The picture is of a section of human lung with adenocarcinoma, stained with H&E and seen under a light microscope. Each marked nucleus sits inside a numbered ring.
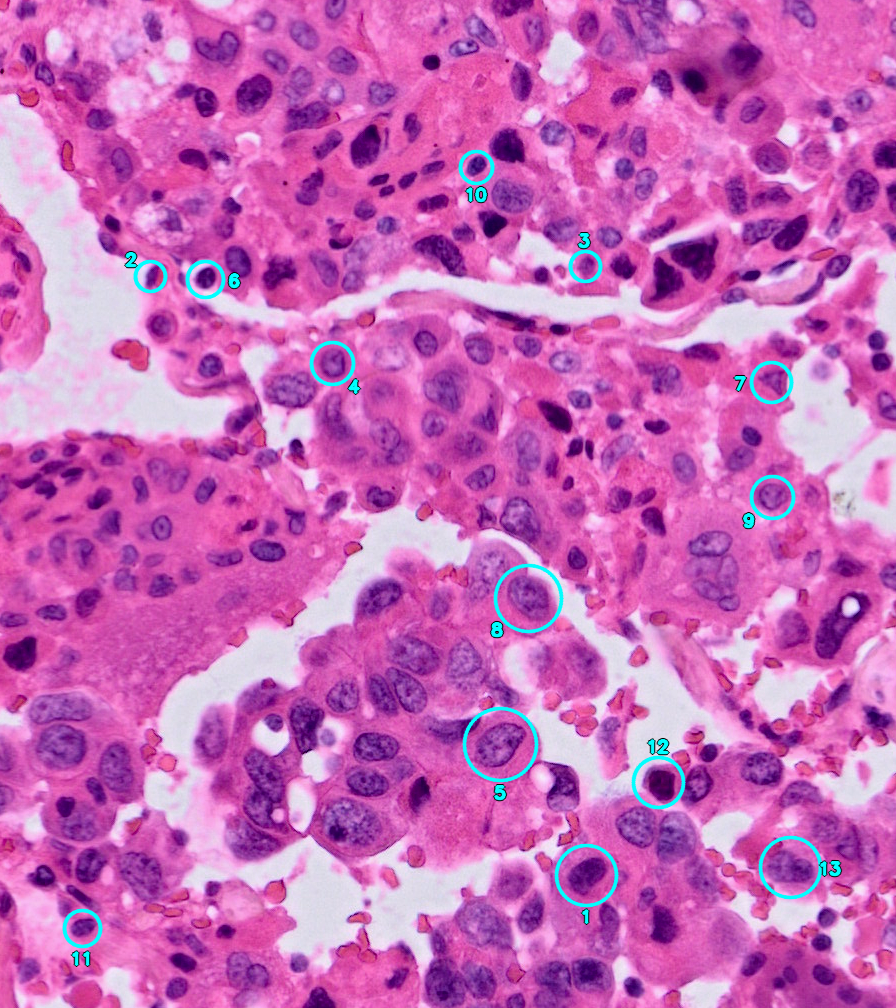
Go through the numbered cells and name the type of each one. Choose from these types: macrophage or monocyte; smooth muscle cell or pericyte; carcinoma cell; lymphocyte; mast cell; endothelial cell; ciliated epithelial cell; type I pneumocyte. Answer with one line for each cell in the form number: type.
1: carcinoma cell
2: endothelial cell
3: macrophage or monocyte
4: macrophage or monocyte
5: carcinoma cell
6: lymphocyte
7: macrophage or monocyte
8: carcinoma cell
9: macrophage or monocyte
10: lymphocyte
11: mast cell
12: carcinoma cell
13: carcinoma cell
